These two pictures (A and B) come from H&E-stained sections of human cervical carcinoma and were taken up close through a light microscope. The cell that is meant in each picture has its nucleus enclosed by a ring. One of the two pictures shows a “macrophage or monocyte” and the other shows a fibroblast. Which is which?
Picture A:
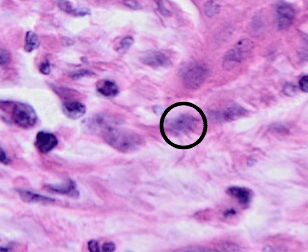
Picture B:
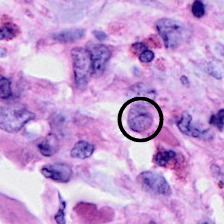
A: fibroblast
B: macrophage or monocyte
